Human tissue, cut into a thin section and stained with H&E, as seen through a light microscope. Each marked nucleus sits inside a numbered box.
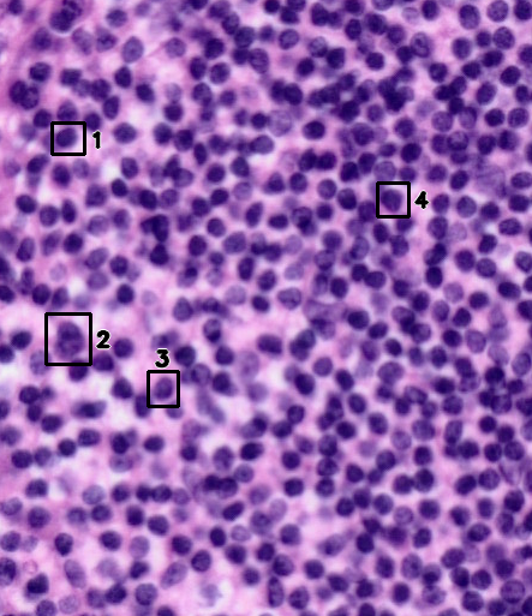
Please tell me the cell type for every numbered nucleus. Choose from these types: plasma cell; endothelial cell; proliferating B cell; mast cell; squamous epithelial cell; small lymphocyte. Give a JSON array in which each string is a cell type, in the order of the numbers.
["small lymphocyte", "proliferating B cell", "small lymphocyte", "small lymphocyte"]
